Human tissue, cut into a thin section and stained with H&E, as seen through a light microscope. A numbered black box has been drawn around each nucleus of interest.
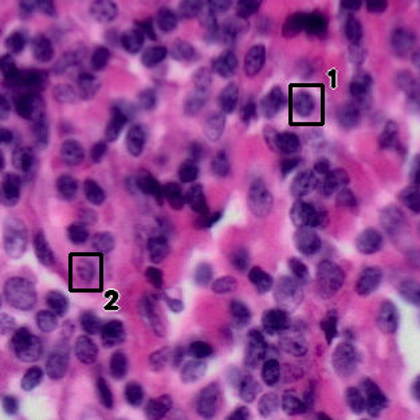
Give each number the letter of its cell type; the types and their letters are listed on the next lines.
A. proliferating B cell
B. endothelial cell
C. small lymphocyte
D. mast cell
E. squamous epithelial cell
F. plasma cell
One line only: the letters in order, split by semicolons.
D; B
